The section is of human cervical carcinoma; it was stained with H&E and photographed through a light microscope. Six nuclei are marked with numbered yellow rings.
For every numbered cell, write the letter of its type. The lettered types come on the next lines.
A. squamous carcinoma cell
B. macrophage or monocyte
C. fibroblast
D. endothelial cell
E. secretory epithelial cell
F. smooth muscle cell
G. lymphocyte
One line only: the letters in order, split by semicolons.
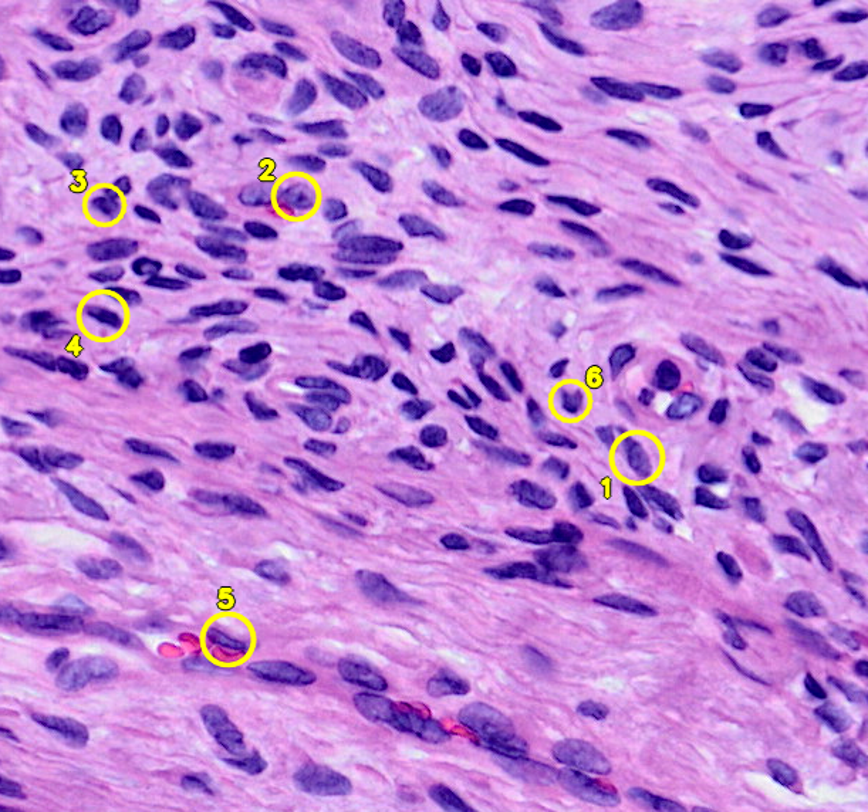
C; D; C; C; D; C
